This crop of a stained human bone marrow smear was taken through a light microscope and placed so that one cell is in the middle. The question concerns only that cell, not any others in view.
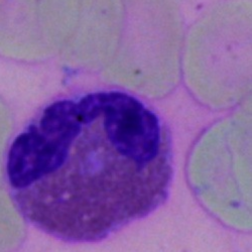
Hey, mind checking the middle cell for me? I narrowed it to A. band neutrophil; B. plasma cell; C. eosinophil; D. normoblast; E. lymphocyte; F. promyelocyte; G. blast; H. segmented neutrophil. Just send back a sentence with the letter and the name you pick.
The central cell in this crop is an eosinophil, so the correct choice is option C.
